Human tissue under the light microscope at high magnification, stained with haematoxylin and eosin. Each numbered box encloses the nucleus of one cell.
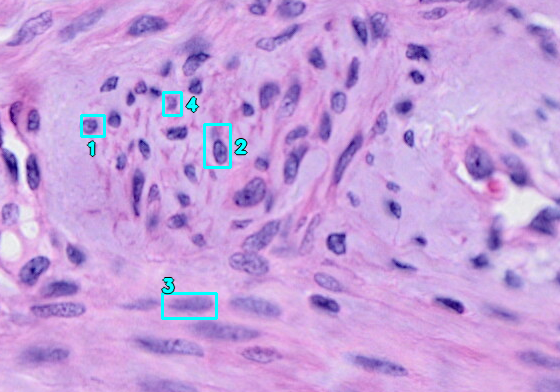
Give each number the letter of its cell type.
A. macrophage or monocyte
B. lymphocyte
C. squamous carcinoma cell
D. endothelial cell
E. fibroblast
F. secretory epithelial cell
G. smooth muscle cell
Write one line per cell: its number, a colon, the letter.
1: G
2: G
3: E
4: G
